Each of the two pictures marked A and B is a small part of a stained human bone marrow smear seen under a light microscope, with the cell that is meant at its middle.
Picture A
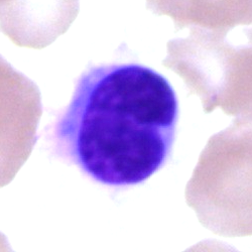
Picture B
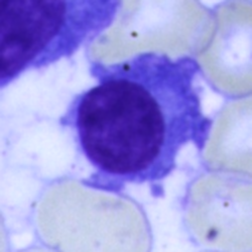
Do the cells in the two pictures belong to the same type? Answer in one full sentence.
No; the cell in picture A is a hairy cell, while the one in picture B is a plasma cell.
